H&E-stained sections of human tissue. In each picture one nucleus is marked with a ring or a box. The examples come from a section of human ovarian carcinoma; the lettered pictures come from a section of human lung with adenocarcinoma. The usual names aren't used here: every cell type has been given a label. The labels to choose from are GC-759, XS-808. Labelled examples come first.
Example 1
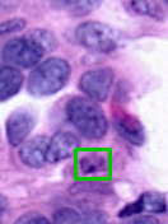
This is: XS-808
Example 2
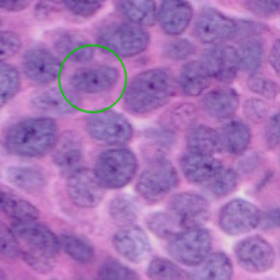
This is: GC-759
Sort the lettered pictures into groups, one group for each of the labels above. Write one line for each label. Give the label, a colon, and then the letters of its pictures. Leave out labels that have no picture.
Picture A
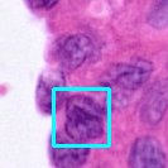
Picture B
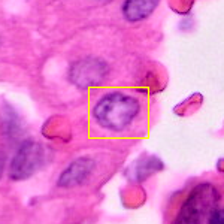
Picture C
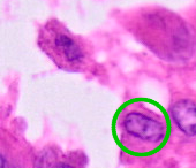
GC-759: A
XS-808: B, C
